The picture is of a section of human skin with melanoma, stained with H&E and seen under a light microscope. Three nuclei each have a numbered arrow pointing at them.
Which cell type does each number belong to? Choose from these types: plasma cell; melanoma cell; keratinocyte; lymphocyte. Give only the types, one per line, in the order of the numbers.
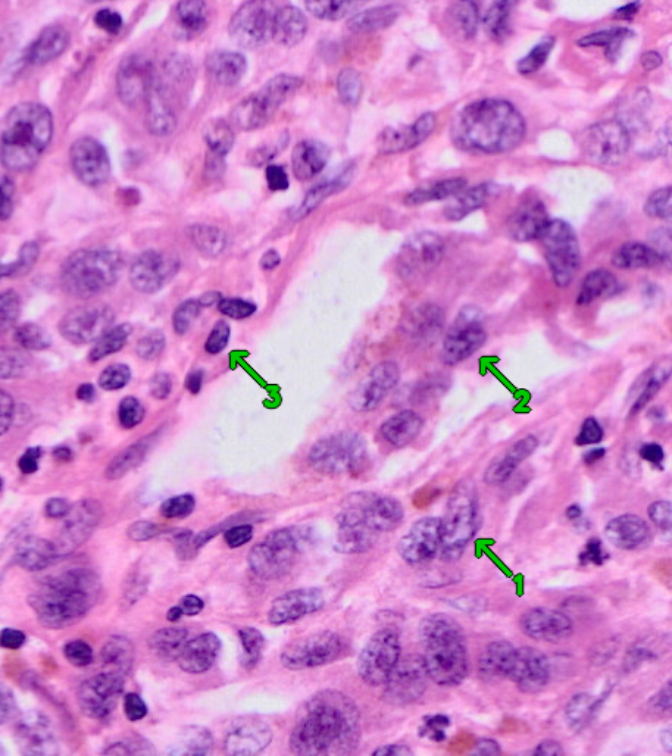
melanoma cell
melanoma cell
lymphocyte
